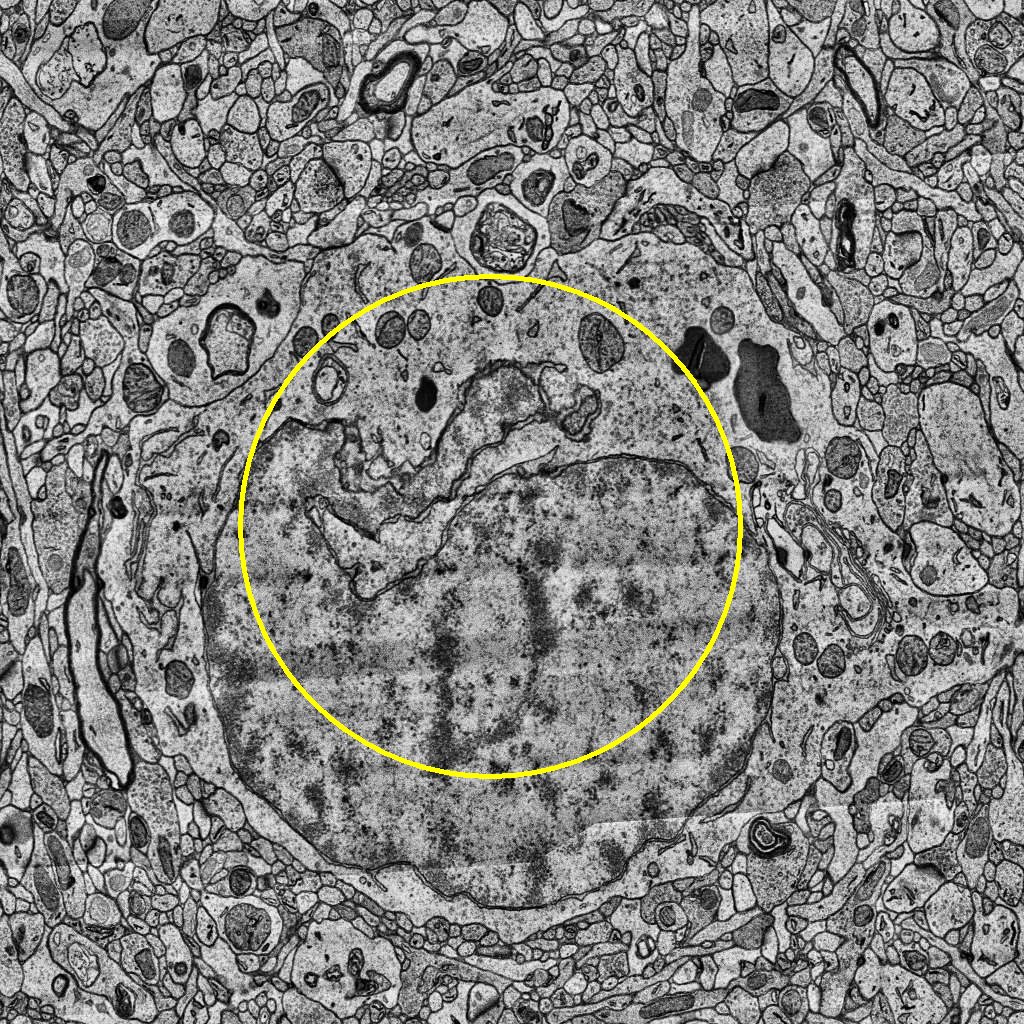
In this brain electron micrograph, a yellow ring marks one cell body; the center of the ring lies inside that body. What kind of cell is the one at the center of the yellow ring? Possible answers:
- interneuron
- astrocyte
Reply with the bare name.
interneuron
